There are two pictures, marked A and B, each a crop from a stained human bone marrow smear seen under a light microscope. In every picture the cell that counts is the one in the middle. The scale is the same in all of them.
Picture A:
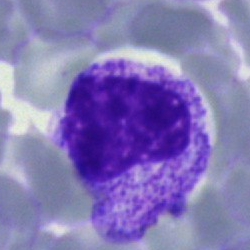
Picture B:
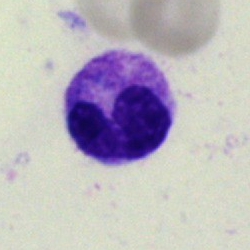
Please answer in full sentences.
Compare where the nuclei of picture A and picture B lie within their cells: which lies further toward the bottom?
It is the nucleus in picture B that lies further toward the bottom of its cell.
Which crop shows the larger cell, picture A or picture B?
Picture A holds the larger cell; it covers about 2 times the area of the cell in picture B.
